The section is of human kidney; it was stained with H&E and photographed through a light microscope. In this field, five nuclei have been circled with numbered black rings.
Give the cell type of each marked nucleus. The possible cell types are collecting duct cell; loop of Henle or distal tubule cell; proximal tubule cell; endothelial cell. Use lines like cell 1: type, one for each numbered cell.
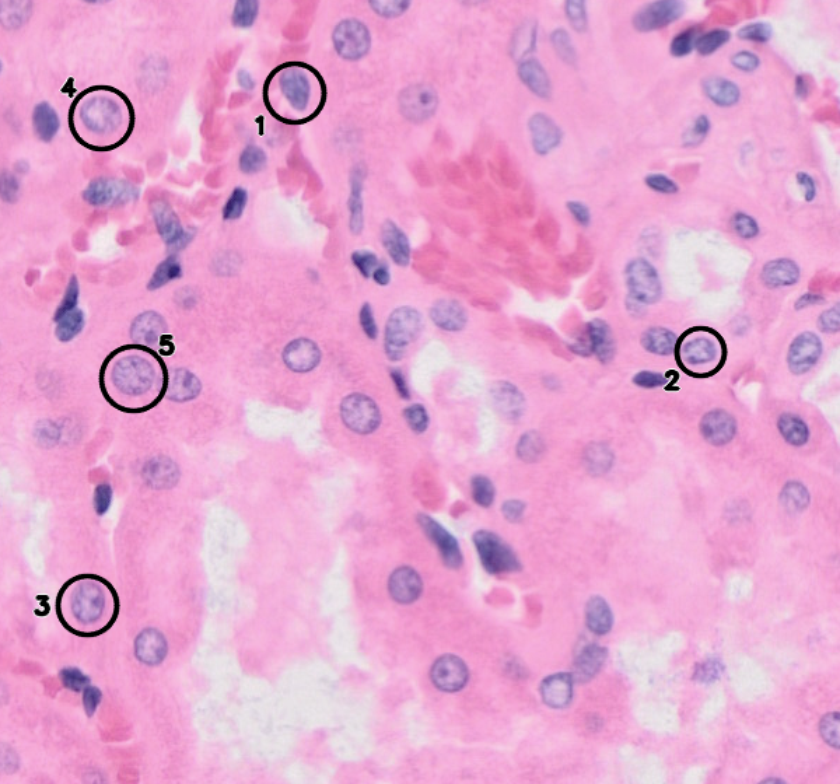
cell 1: endothelial cell
cell 2: collecting duct cell
cell 3: proximal tubule cell
cell 4: proximal tubule cell
cell 5: proximal tubule cell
